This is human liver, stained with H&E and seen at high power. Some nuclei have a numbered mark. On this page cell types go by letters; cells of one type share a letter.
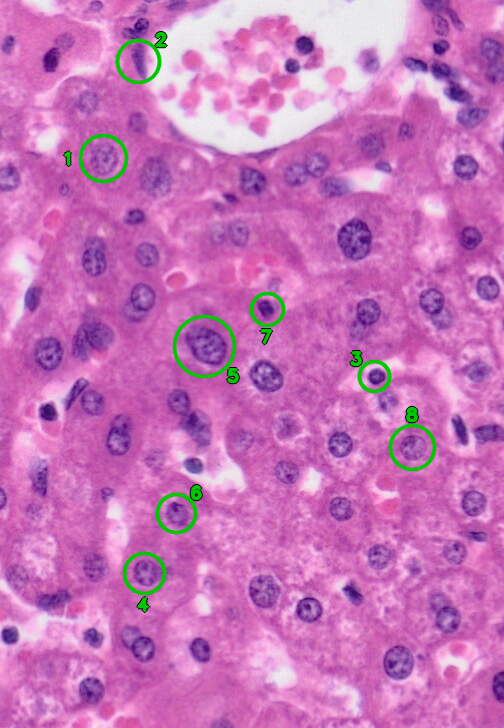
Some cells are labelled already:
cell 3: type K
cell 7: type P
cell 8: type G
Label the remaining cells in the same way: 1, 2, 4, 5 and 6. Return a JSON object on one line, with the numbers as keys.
{"1": "type G", "2": "type P", "4": "type G", "5": "type G", "6": "type G"}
